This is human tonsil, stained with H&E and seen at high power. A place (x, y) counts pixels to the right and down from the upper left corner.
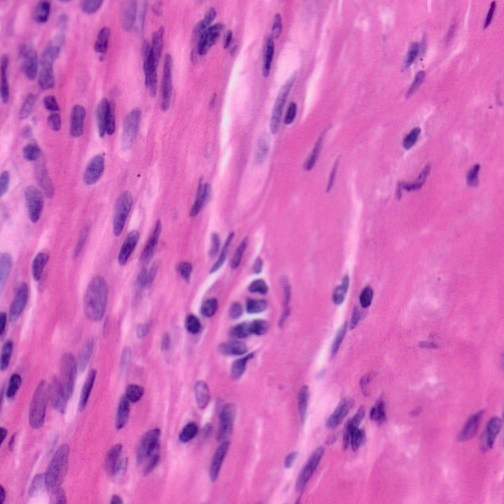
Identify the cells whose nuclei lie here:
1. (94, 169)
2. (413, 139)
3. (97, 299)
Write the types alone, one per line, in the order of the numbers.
mast cell
mast cell
endothelial cell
